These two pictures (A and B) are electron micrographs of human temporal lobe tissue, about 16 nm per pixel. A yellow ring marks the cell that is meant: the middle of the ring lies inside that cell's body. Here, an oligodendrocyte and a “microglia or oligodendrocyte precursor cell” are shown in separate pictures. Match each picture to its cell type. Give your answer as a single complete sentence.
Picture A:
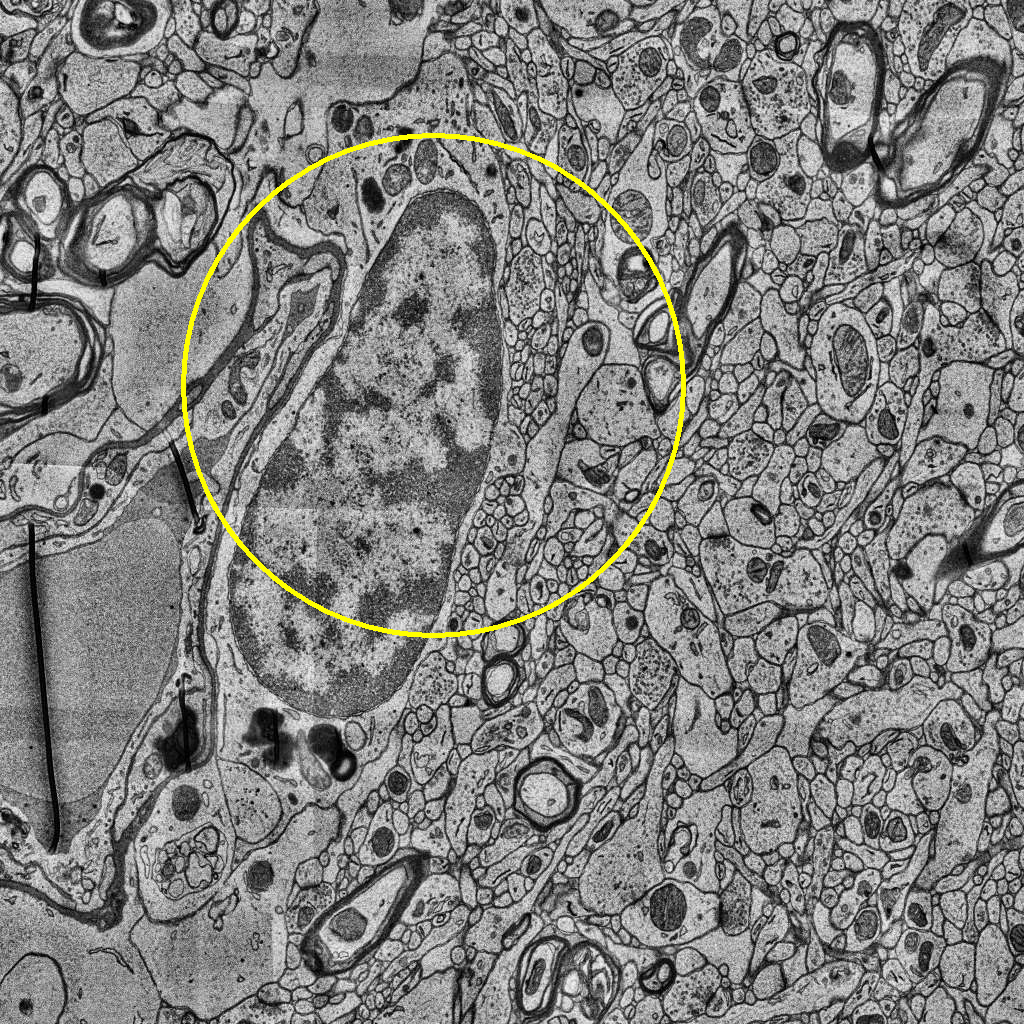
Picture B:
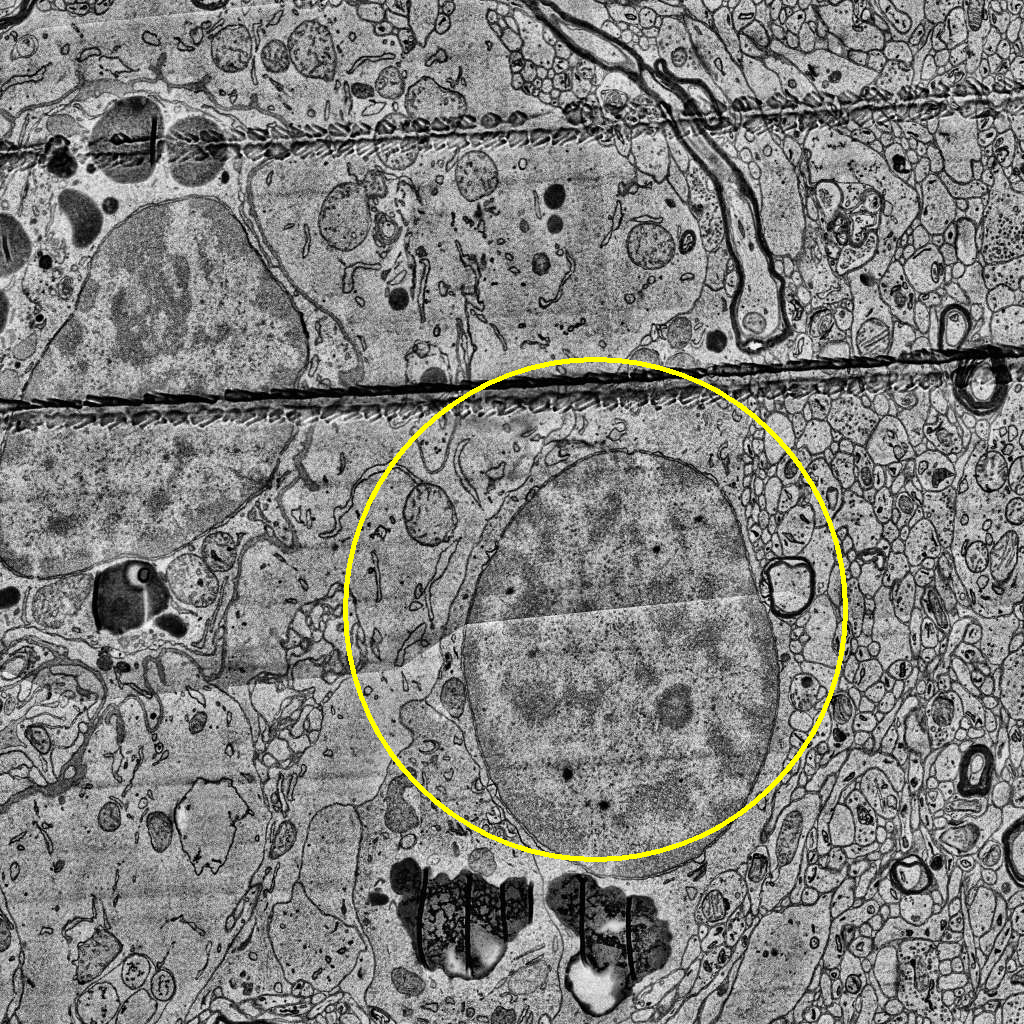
Picture A is of a “microglia or oligodendrocyte precursor cell”, and picture B is of an oligodendrocyte.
